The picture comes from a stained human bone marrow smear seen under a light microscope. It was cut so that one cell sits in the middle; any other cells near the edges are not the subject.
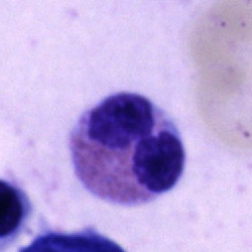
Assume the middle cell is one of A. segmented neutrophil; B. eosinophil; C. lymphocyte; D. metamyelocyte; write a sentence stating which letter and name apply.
The one to choose is option B, as the cell in the middle is an eosinophil.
